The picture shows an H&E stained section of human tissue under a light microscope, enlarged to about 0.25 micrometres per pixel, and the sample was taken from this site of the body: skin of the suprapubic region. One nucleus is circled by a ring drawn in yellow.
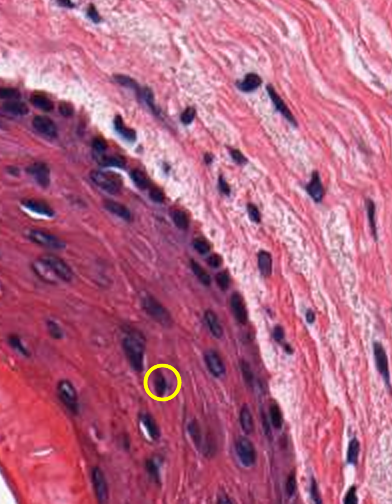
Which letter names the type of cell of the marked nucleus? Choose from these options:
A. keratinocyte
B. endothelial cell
A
